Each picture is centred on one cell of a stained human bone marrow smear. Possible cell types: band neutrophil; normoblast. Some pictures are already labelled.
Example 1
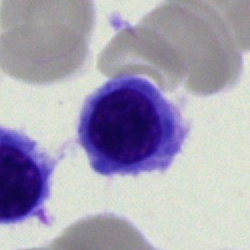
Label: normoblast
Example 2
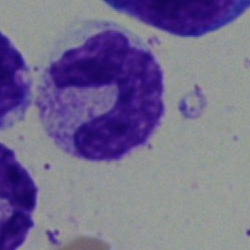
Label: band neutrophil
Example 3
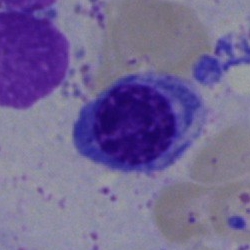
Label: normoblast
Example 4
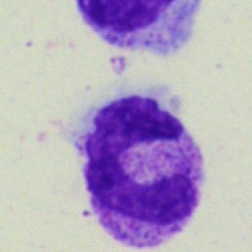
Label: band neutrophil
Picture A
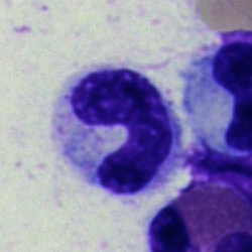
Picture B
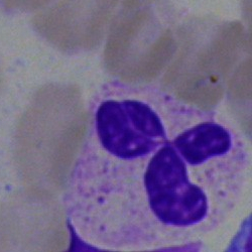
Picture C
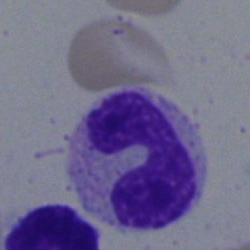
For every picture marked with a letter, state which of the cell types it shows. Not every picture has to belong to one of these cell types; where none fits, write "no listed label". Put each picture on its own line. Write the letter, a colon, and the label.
A: band neutrophil
B: no listed label
C: band neutrophil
